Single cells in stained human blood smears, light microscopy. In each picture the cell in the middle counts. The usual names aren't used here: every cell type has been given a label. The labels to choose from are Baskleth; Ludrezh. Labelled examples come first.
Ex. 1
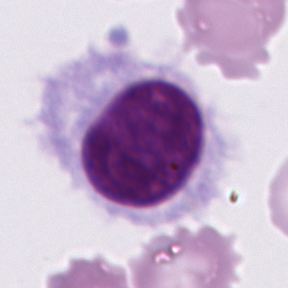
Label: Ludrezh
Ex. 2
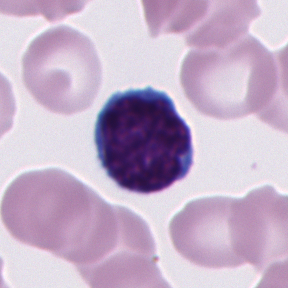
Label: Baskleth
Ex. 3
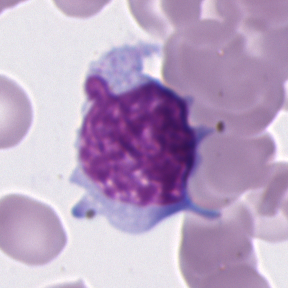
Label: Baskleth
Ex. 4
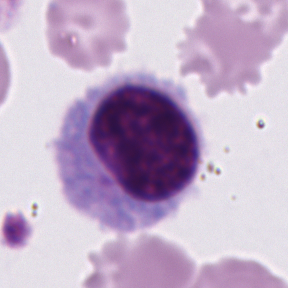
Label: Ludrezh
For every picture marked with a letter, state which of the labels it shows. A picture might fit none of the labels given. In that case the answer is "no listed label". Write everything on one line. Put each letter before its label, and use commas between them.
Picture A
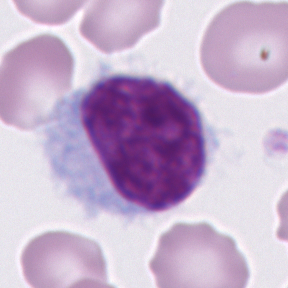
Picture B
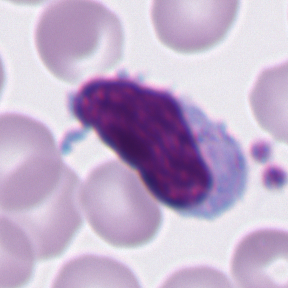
A Ludrezh, B Baskleth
